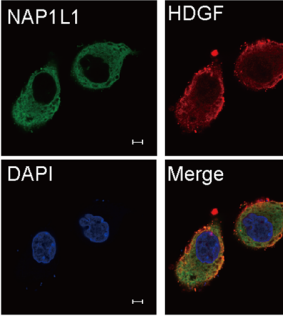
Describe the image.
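The green fills the cytoplasm with a fine net-like texture, while the red is granular and strongest toward the cell edges. In the overlay the cytoplasm looks green with yellow to orange areas, mostly at the periphery, around the blue nuclei.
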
